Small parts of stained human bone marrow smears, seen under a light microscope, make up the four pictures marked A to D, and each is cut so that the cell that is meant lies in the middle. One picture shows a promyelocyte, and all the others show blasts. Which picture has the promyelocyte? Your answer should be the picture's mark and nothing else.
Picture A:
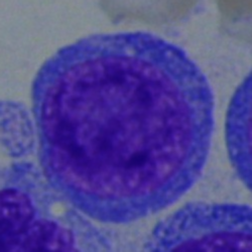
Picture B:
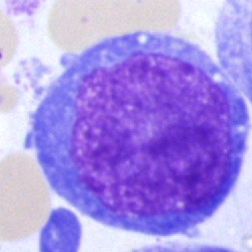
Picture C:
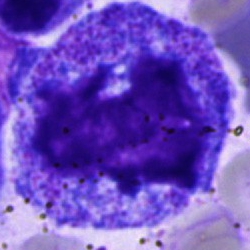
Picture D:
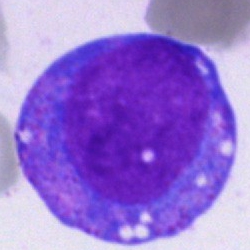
C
